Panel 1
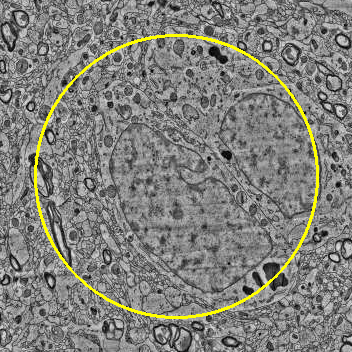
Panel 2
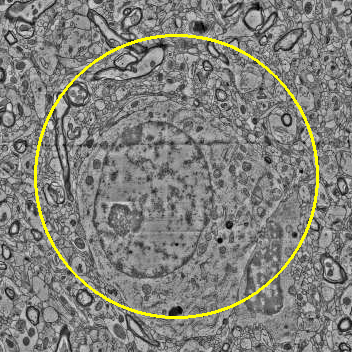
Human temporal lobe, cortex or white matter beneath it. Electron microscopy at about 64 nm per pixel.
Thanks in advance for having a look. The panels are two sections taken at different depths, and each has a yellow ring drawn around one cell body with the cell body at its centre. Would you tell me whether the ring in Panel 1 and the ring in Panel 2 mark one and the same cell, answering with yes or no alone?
no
